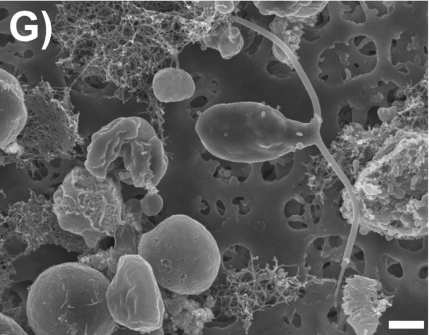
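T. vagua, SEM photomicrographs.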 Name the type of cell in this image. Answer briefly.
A: Zoospores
